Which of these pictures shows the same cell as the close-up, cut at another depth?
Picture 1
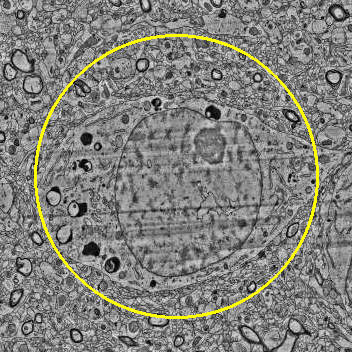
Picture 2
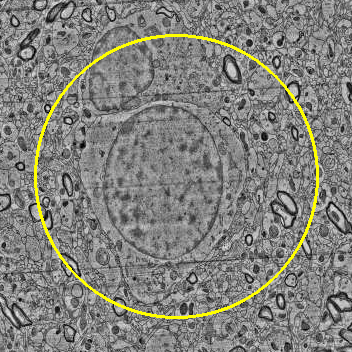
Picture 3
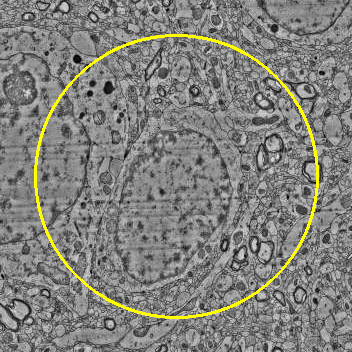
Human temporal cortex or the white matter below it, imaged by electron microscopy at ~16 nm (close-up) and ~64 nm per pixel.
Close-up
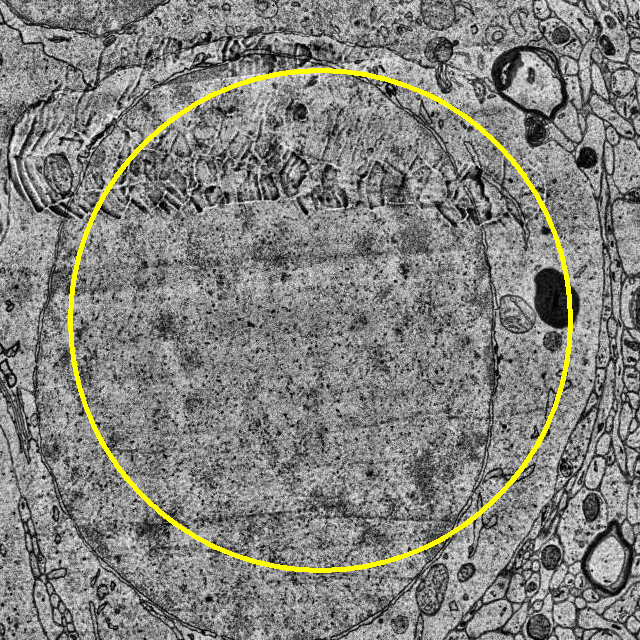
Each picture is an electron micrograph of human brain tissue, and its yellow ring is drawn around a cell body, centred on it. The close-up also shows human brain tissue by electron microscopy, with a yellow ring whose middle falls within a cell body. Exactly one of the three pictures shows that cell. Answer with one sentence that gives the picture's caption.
The cell in the zoomed view is the one circled in Picture 2.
